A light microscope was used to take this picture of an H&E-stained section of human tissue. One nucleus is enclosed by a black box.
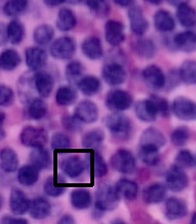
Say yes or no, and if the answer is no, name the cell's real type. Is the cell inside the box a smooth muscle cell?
No, it is a small lymphocyte.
